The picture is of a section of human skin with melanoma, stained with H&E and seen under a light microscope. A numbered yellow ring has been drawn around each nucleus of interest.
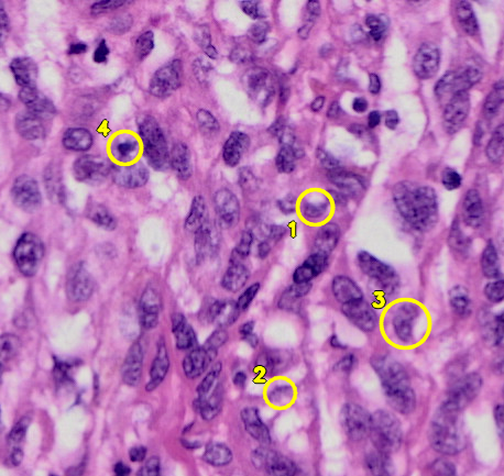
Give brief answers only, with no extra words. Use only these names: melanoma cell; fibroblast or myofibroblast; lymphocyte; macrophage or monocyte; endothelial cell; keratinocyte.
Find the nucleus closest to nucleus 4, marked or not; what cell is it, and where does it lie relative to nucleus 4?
a melanoma cell; to the right of nucleus 4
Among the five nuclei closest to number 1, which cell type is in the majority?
melanoma cell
